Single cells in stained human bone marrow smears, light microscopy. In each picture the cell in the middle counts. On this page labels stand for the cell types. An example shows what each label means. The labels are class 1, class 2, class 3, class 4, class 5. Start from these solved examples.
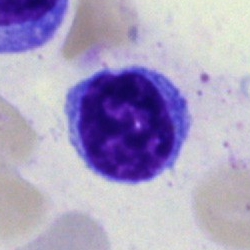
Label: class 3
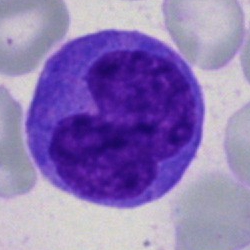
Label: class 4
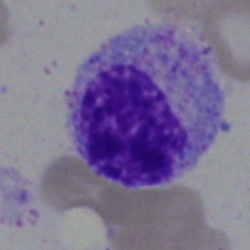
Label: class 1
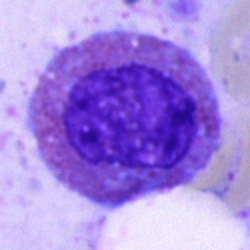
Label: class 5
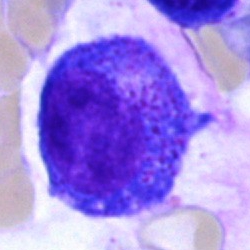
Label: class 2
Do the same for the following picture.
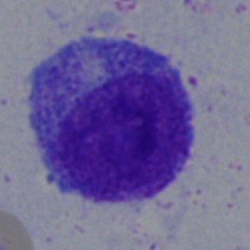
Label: class 1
